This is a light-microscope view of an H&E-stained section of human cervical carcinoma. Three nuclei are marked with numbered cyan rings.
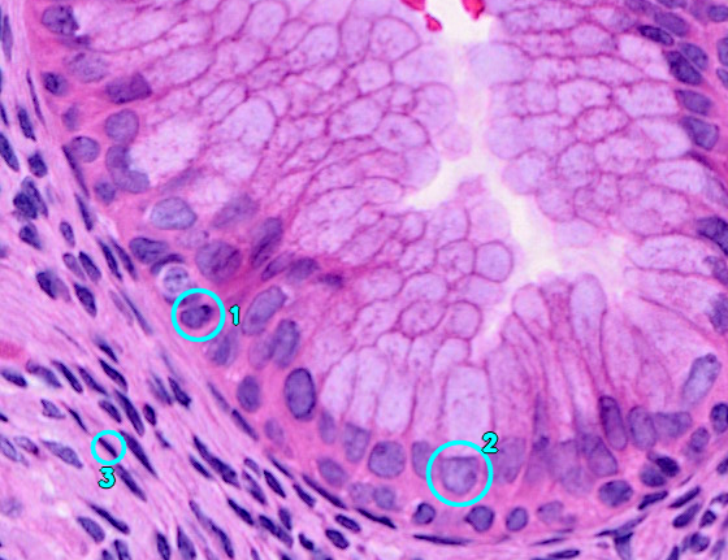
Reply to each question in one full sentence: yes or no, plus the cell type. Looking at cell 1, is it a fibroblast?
No, the one with number 1 is a secretory epithelial cell, not a fibroblast.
